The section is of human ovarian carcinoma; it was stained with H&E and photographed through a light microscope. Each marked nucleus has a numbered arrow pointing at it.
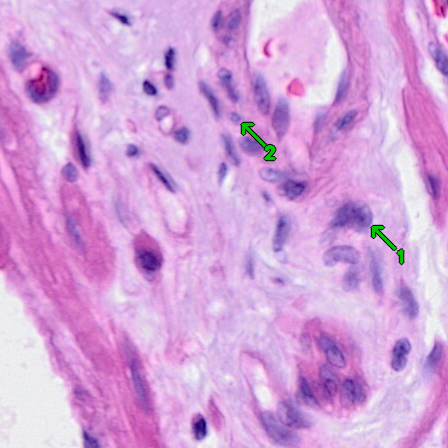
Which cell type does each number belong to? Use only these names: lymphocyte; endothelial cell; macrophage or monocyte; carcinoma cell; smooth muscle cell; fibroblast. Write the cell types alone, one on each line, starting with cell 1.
fibroblast
smooth muscle cell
